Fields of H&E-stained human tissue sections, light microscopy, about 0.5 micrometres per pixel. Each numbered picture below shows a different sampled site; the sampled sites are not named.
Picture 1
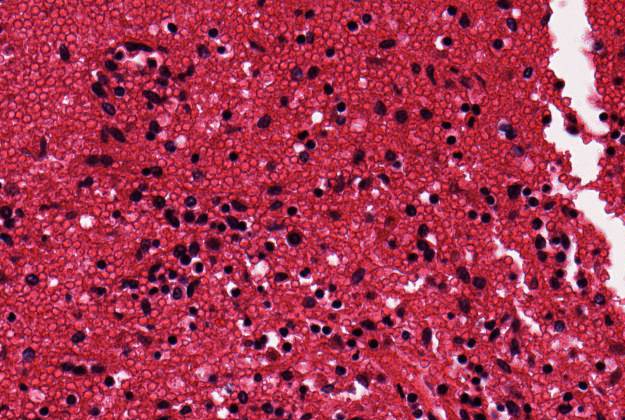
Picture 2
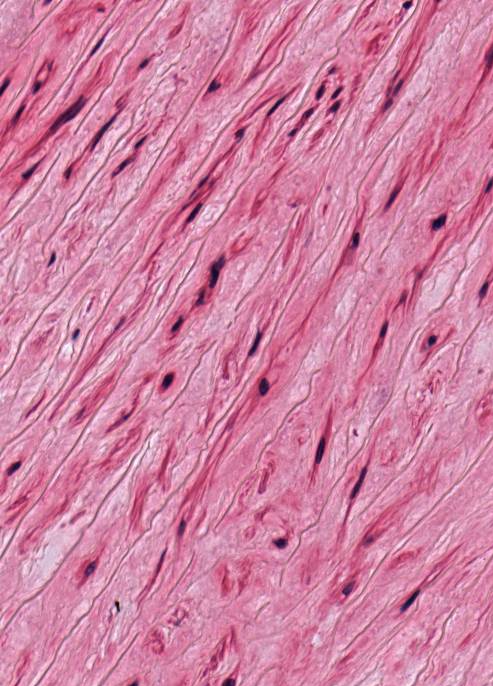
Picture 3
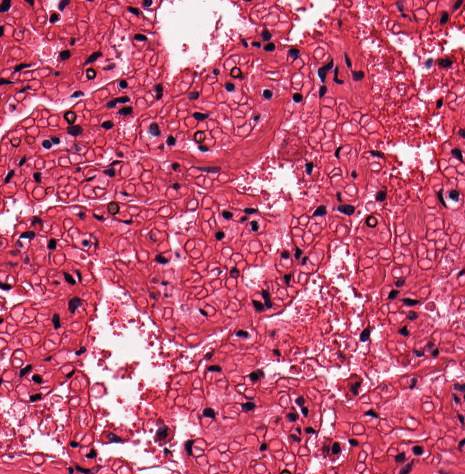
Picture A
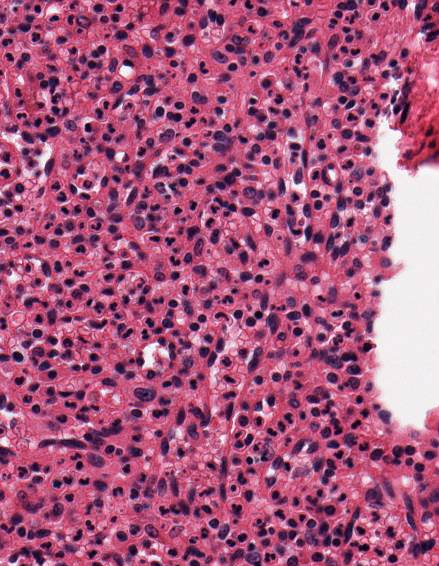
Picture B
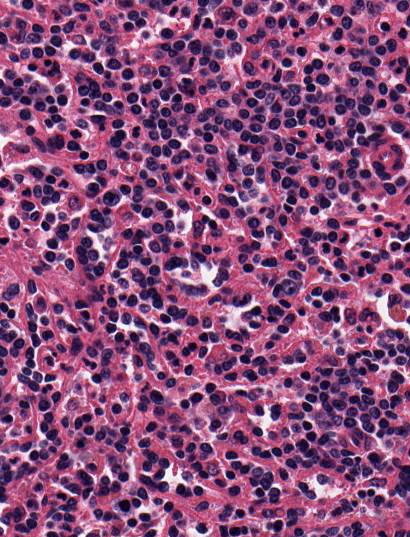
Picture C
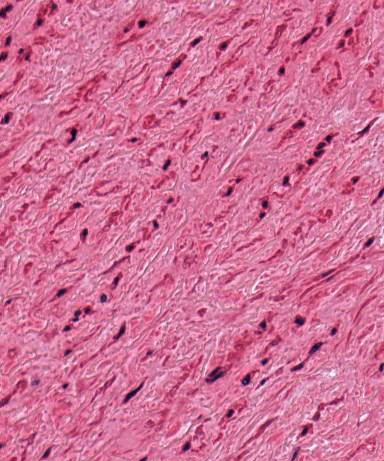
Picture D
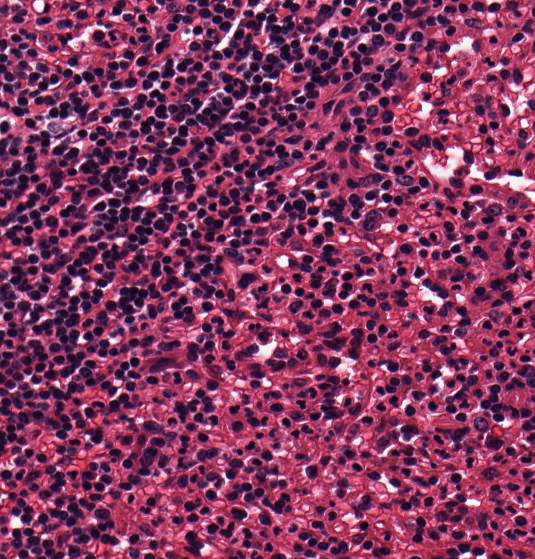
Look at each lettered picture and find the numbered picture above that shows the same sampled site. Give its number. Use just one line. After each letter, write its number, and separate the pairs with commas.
A 1, B 1, C 2, D 1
